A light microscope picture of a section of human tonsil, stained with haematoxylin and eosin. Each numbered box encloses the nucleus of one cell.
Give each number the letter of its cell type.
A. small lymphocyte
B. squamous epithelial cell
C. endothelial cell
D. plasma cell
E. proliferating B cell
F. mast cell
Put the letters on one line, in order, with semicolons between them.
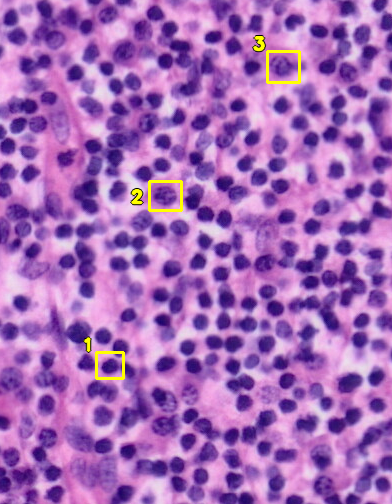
A; D; D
